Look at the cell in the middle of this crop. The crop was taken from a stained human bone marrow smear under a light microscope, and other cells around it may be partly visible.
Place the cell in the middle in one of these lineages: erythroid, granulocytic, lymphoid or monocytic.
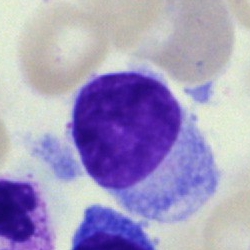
lymphoid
